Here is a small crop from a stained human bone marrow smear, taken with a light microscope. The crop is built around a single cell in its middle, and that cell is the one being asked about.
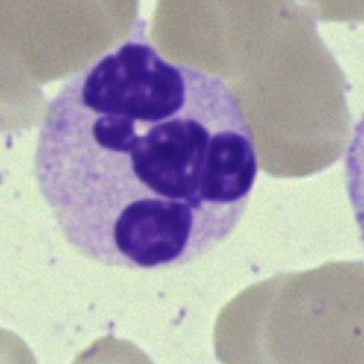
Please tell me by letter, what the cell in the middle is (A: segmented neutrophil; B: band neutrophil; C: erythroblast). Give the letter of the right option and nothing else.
A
